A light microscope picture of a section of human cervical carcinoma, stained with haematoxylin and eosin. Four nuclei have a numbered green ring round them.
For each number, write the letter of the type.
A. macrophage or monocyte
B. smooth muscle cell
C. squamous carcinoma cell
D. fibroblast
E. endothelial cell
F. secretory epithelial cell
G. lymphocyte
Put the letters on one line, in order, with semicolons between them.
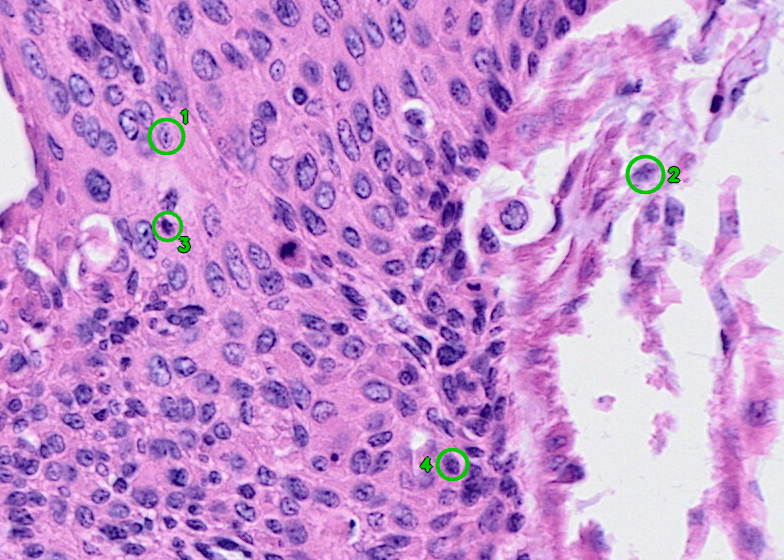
C; D; C; C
